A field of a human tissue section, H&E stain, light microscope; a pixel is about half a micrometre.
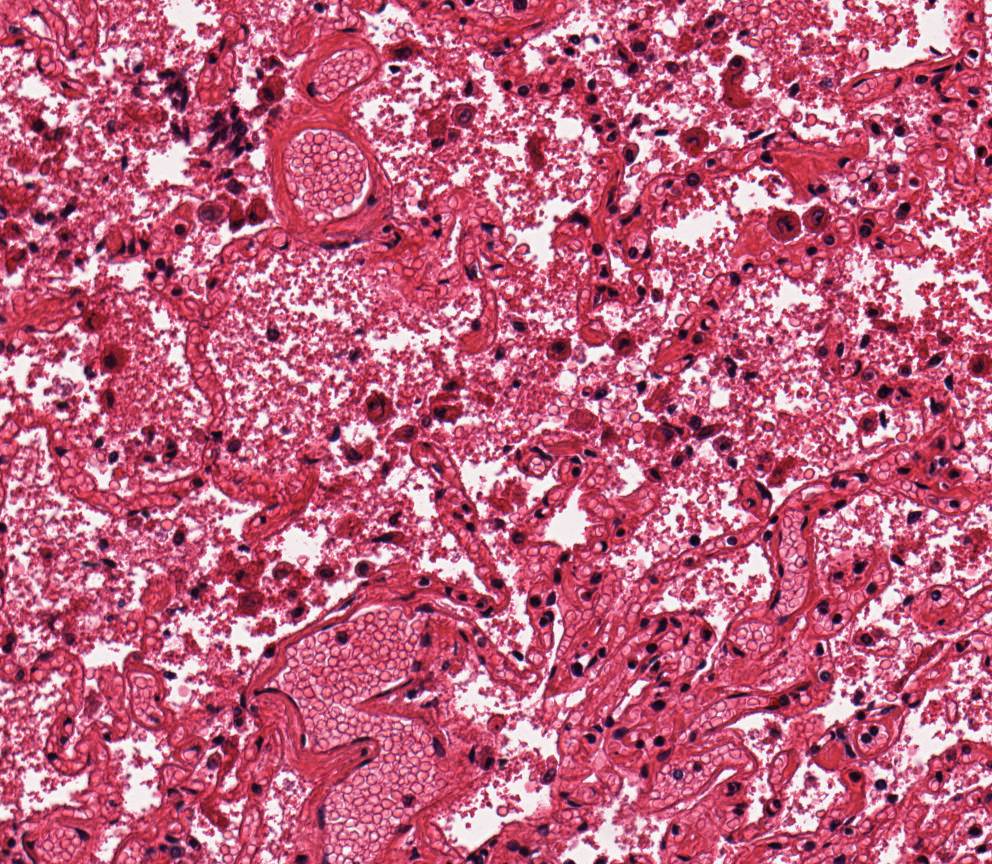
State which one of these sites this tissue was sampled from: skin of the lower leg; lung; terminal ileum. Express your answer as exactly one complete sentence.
Tissue for this section was sampled from the lung.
